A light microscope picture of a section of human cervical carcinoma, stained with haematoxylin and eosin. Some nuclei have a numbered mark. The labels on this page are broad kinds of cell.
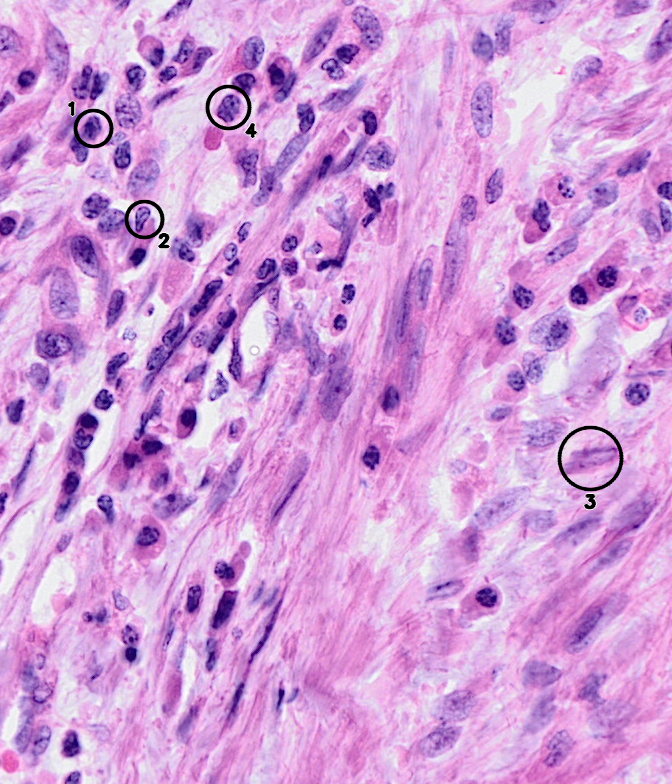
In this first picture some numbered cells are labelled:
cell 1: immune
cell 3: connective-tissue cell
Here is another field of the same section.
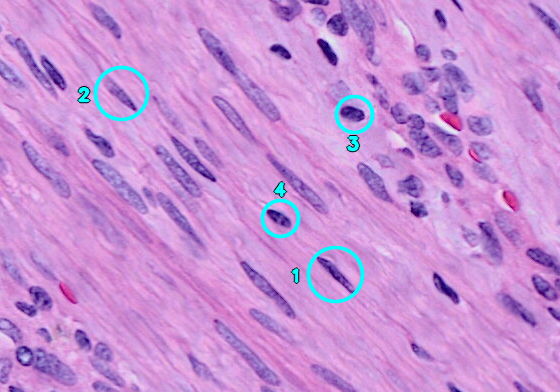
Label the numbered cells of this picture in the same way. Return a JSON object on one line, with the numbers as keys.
{"1": "connective-tissue cell", "2": "connective-tissue cell", "3": "immune", "4": "immune"}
